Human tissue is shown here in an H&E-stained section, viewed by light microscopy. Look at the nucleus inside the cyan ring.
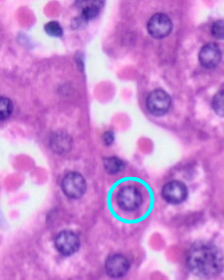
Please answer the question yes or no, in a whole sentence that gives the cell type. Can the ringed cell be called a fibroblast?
No, that is wrong: the ringed cell is a hepatocyte, not a fibroblast.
